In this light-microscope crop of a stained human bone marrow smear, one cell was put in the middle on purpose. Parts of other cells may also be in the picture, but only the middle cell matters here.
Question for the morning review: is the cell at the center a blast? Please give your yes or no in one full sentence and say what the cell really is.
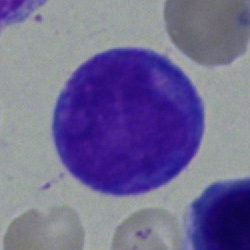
Yes, within this crop, the central cell is a blast.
